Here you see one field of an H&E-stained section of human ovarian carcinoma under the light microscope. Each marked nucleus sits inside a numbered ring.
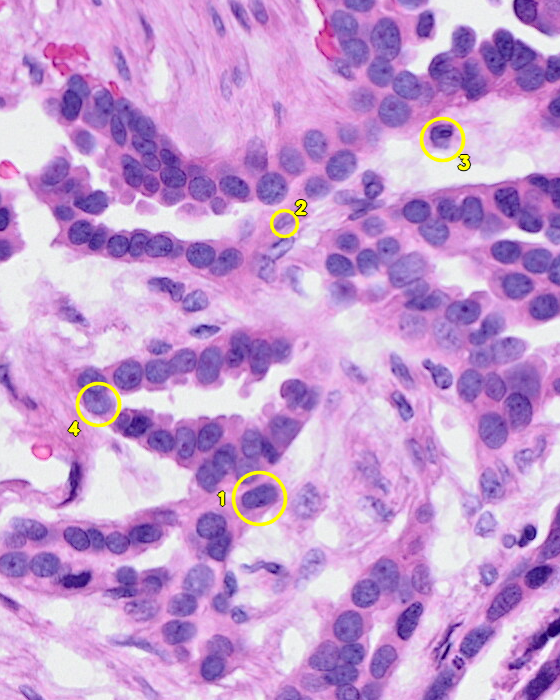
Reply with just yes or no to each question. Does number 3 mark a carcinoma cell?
no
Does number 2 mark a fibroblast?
yes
